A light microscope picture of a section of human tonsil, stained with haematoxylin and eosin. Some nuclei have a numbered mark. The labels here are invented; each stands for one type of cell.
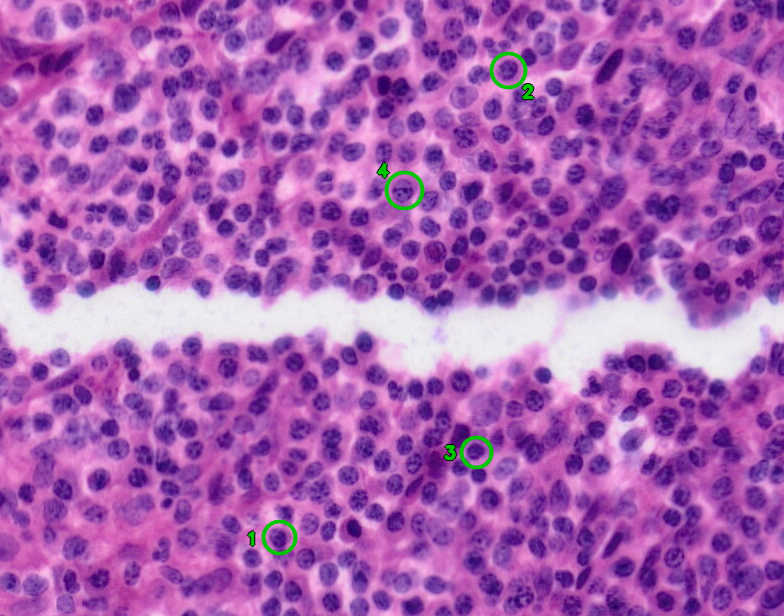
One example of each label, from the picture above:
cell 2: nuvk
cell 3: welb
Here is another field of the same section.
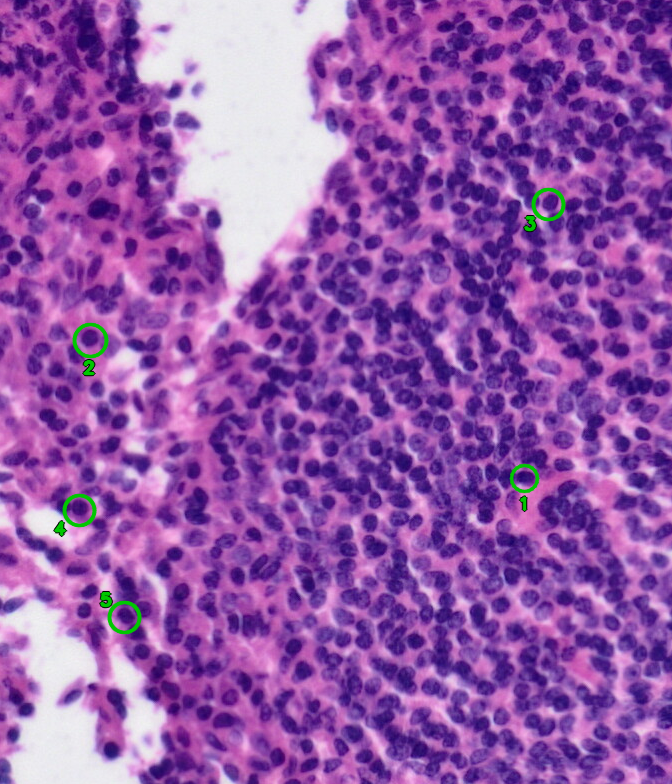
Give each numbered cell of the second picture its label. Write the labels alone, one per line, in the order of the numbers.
welb
nuvk
welb
nuvk
nuvk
